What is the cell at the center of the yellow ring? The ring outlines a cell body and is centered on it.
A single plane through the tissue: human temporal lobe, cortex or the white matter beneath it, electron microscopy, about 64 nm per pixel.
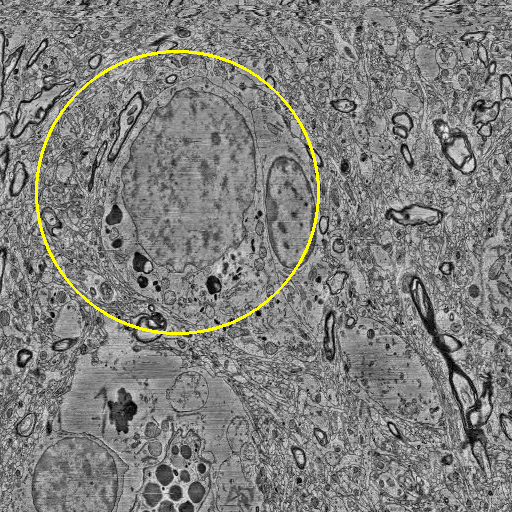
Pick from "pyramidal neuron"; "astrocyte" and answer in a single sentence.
The yellow ring is centered on a pyramidal neuron.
